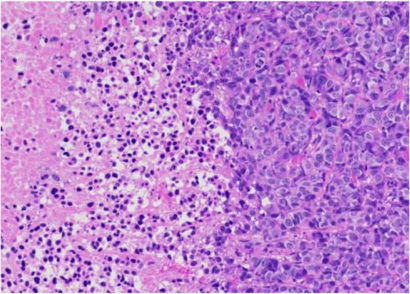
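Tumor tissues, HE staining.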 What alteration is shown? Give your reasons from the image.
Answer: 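Many small, round, very dark nuclei lie loosely in the left half. Cells on the right have larger, paler nuclei. So: nuclear condensation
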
